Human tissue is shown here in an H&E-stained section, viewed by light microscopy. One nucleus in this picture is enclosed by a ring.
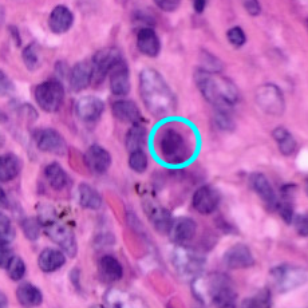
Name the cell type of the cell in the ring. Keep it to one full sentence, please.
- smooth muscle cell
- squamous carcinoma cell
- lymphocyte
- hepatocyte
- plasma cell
With respect to cell type, the cell in the ring is a plasma cell.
